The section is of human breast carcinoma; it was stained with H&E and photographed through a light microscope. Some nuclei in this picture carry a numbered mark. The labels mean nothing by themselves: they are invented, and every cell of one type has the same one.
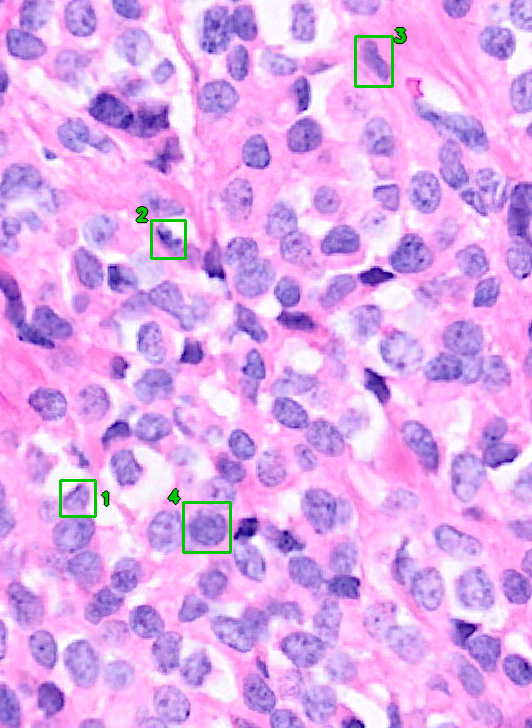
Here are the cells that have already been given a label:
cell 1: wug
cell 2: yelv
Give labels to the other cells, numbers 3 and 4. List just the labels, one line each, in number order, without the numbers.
yelv
wug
